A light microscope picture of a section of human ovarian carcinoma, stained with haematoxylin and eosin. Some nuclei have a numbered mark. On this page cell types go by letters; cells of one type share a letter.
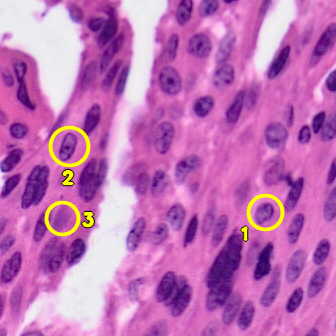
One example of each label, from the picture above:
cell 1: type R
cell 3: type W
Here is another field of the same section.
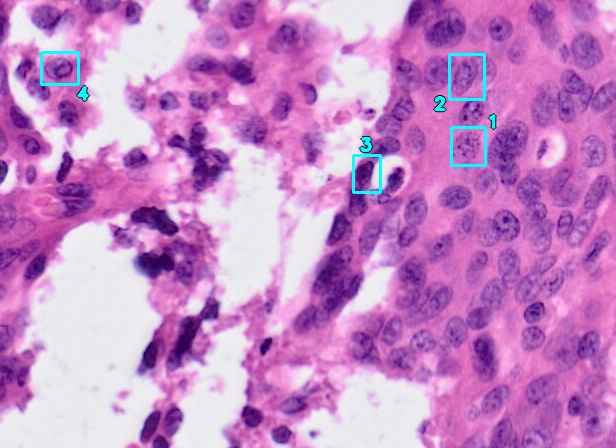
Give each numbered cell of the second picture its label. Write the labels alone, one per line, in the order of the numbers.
type W
type W
type W
type R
